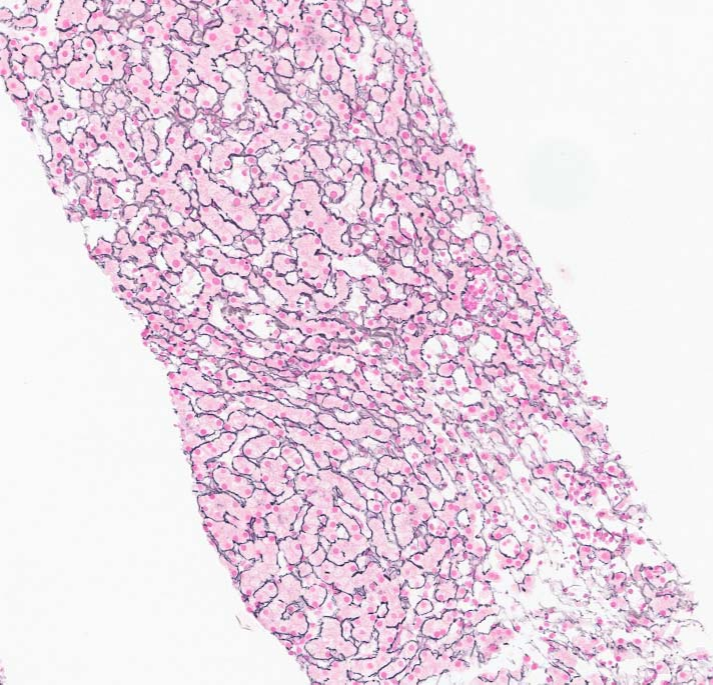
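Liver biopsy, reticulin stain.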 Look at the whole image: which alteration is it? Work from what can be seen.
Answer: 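Rounded zones of widened liver cell plates outlined by black reticulin fibres. A band of thin, compressed plates runs between these zones. No broad fibrous septa separate the zones.
Nodular regenerative hyperplasia.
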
